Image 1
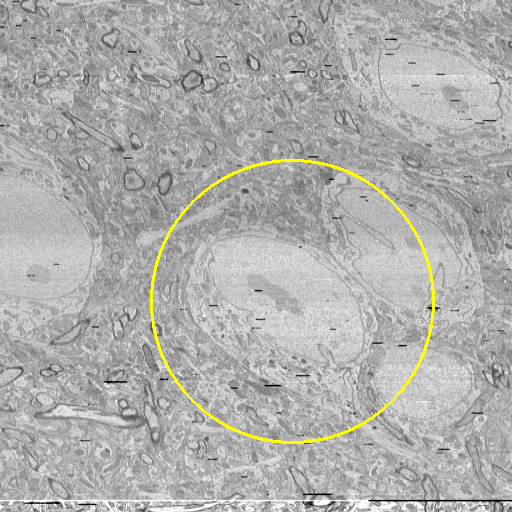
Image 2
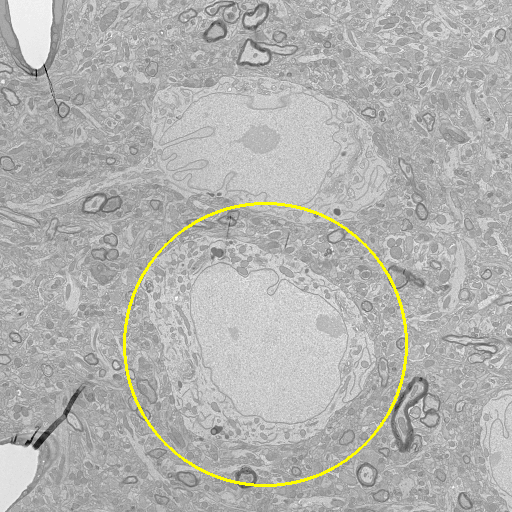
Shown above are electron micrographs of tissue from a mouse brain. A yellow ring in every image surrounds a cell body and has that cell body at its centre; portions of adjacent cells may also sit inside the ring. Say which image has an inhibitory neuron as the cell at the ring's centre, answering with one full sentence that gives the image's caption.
The image whose ring is centred on the requested cell is Image 1.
